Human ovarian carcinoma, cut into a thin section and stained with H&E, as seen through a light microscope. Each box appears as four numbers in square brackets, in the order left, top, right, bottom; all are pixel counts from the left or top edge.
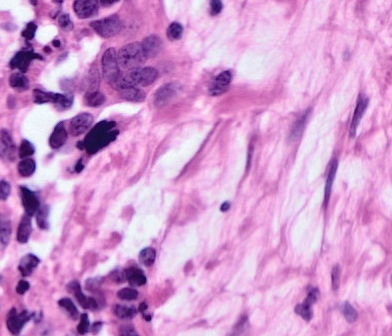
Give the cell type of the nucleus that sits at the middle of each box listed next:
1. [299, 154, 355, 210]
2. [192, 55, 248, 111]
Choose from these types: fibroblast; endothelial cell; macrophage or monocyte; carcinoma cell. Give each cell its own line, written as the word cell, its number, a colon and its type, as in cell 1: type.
cell 1: fibroblast
cell 2: macrophage or monocyte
